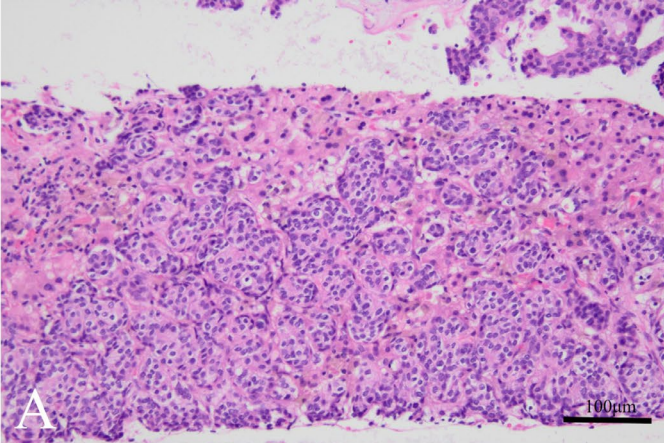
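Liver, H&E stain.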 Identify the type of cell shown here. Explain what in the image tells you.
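Cells crowd together in rounded nests separated by pink stroma. Nuclei are enlarged and closely packed compared with the surrounding stromal cells. On this evidence: atypical cells.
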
